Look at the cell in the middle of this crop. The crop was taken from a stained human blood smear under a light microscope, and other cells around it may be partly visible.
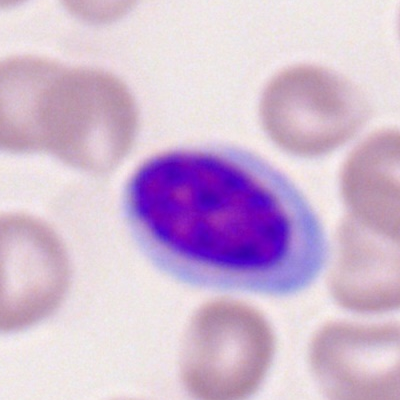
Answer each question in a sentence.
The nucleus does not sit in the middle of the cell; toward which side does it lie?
The nucleus lies toward the upper left of the cell.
